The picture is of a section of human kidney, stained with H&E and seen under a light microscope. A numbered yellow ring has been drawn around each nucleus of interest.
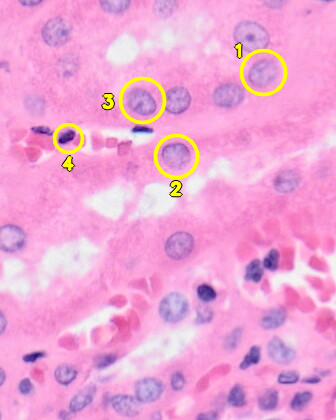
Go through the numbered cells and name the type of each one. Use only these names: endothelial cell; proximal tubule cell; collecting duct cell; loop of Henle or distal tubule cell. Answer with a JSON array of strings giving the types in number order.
["proximal tubule cell", "proximal tubule cell", "proximal tubule cell", "endothelial cell"]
